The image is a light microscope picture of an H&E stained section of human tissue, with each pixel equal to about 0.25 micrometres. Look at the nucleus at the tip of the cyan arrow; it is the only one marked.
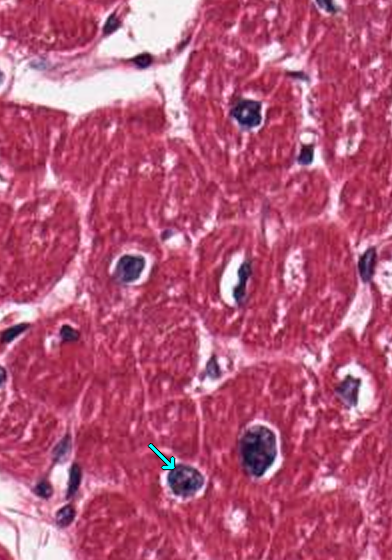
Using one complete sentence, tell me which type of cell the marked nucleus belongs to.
The owner of the marked nucleus is a cardiomyocyte.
